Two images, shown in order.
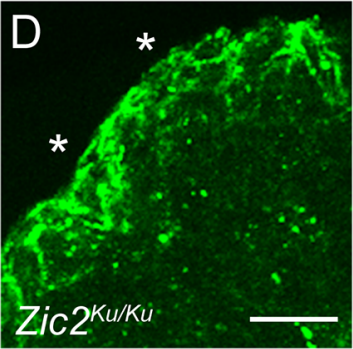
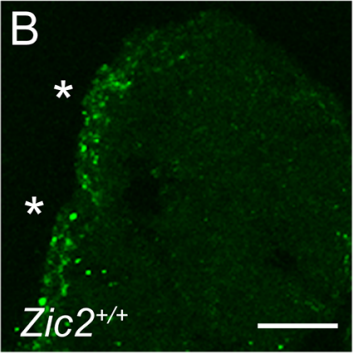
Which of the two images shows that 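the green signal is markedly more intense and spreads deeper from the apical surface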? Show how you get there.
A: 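The first image. First image: bright, thick green bands along the surface extend into the epithelium.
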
